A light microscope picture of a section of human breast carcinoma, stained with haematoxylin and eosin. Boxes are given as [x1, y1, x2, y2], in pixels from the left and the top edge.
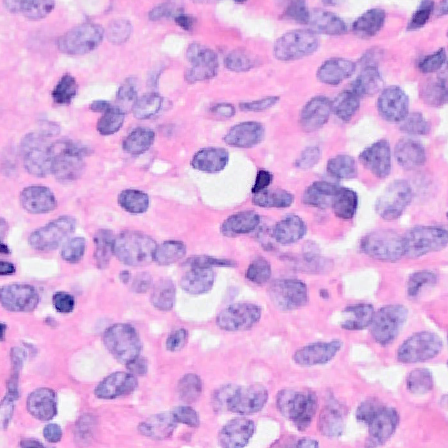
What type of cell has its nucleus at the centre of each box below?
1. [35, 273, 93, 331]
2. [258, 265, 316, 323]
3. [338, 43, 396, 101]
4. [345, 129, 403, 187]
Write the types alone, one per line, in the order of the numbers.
lymphocyte
carcinoma cell
carcinoma cell
carcinoma cell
